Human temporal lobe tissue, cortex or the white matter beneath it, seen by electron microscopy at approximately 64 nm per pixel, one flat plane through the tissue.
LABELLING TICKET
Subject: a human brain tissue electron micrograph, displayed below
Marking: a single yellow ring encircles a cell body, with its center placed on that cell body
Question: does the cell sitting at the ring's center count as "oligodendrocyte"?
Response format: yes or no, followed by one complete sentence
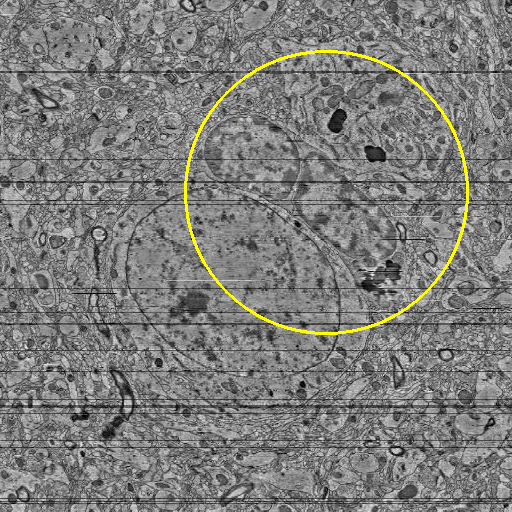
Yes, the cell at the center of the ring in the picture is of that kind.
